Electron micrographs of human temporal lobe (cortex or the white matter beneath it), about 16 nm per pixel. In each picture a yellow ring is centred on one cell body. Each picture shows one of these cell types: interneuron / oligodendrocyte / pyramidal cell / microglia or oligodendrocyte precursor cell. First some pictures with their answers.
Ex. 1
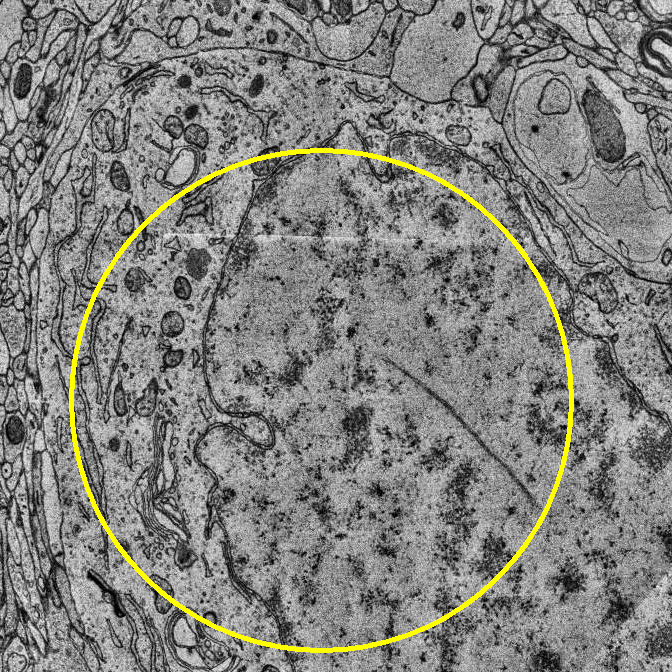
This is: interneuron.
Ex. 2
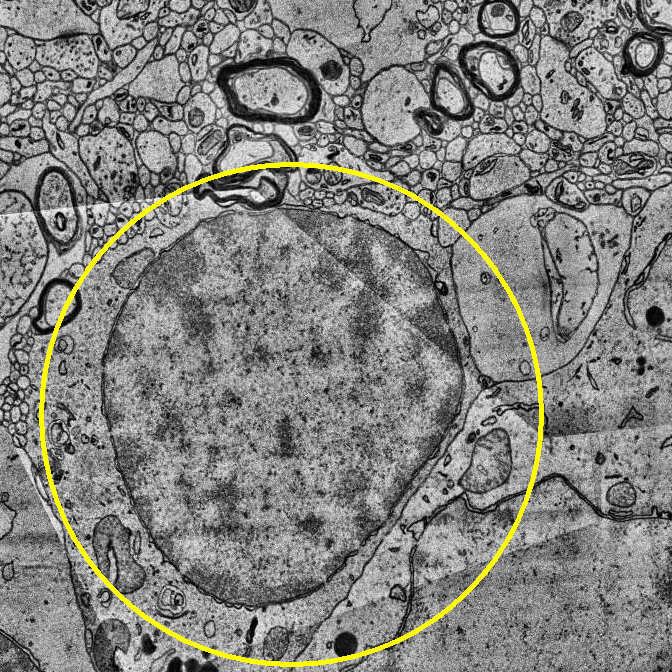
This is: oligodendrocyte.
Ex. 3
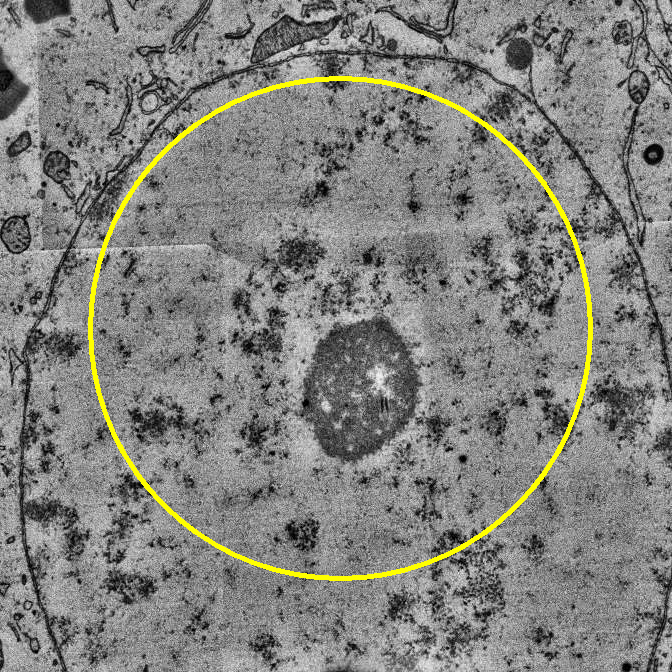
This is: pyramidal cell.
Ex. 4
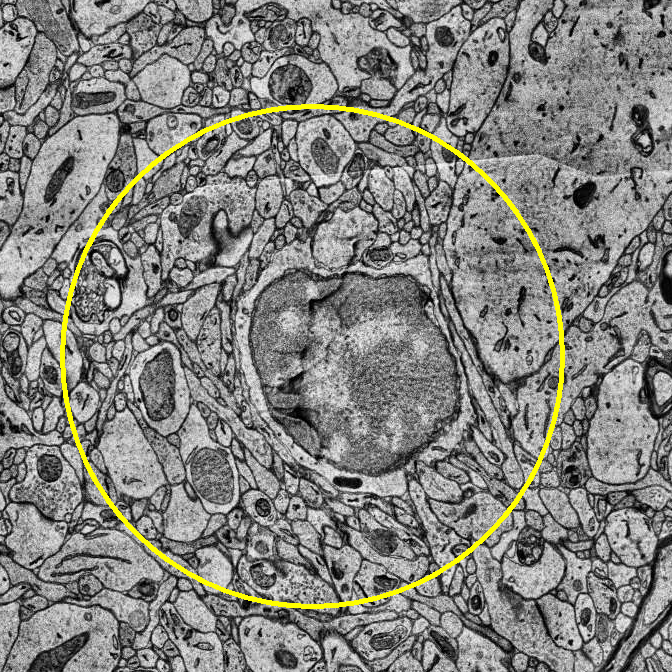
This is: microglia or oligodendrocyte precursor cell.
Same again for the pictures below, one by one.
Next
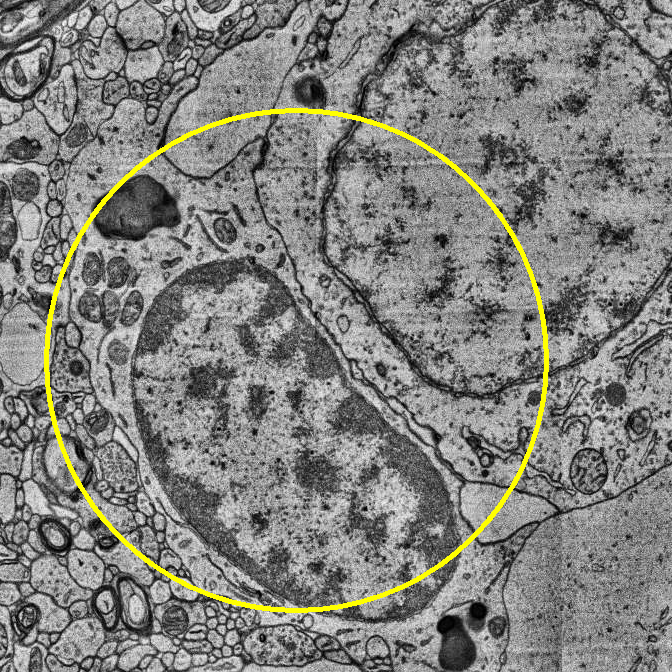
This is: microglia or oligodendrocyte precursor cell.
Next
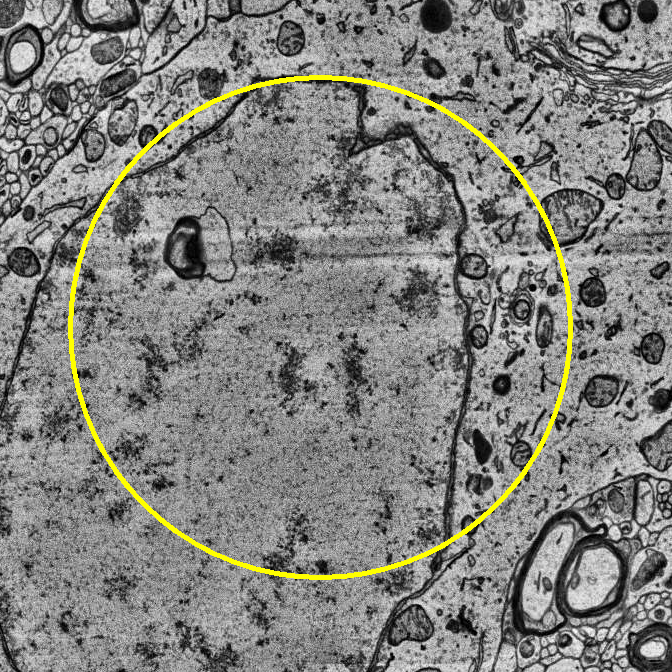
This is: pyramidal cell.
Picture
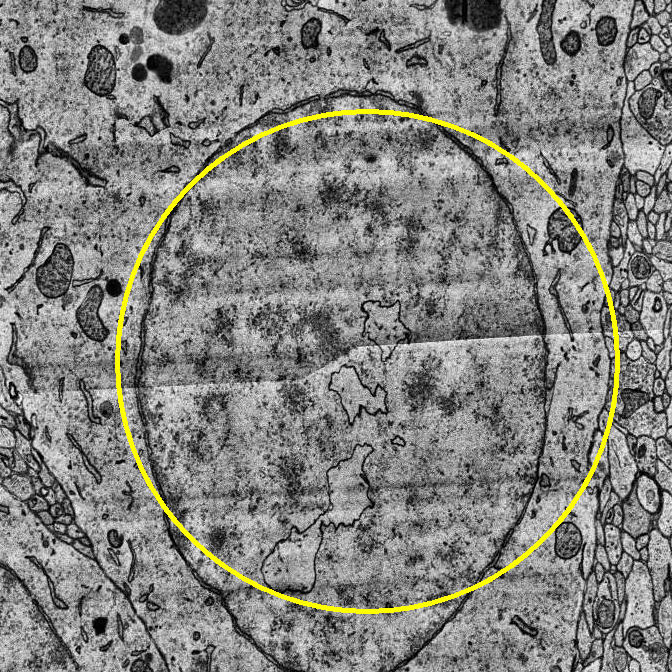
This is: pyramidal cell.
